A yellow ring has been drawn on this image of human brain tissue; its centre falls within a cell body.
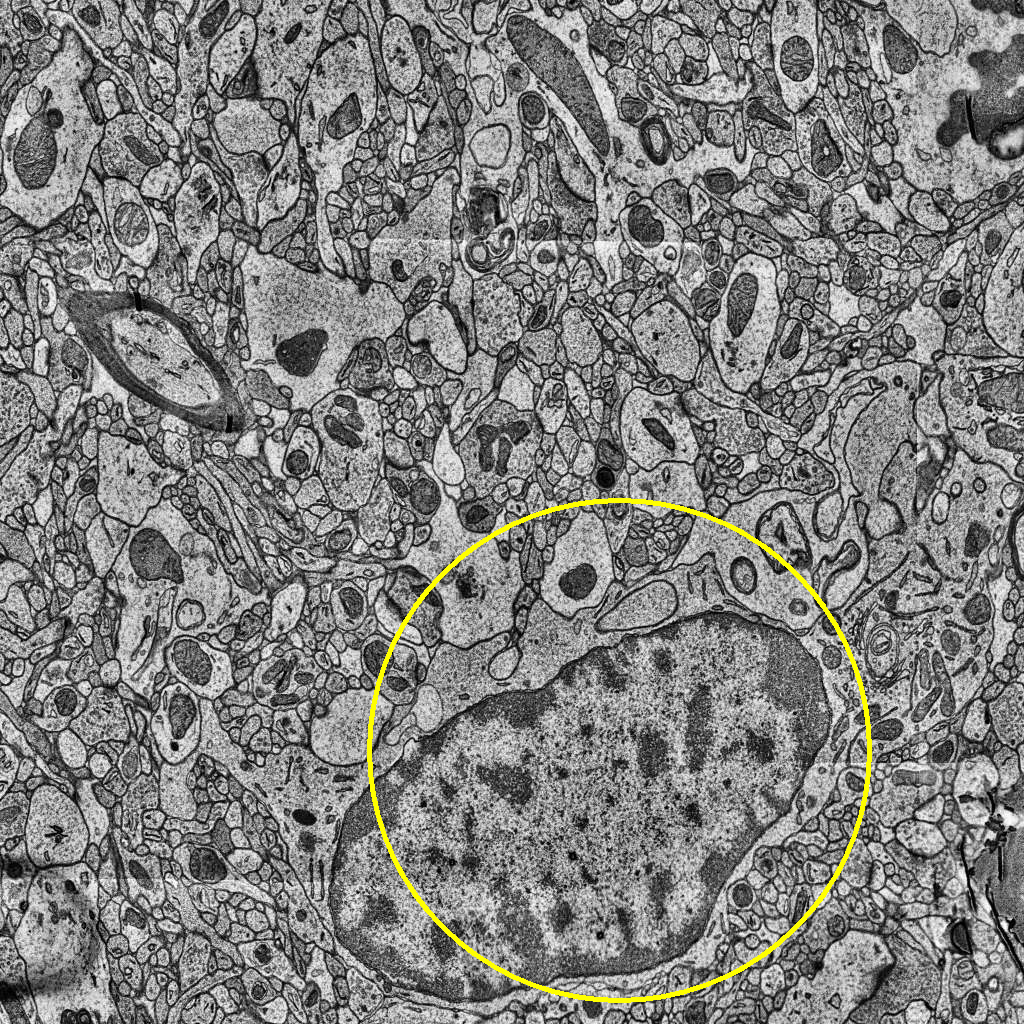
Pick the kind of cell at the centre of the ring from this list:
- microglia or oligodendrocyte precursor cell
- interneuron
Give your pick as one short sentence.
The centre of the ring holds a microglial cell or oligodendrocyte precursor cell.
